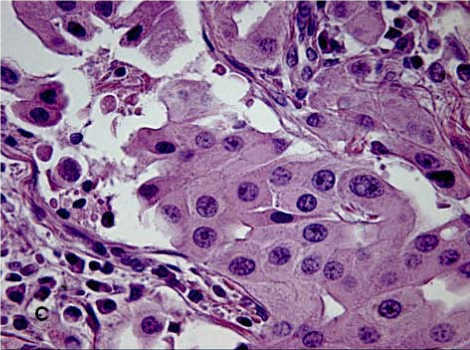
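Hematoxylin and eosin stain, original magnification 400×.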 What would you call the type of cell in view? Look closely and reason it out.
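Oncocytic cells. Large polygonal cells with abundant pink cytoplasm. Cytoplasm looks finely granular. Round nuclei with visible nucleoli, varying somewhat in size.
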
